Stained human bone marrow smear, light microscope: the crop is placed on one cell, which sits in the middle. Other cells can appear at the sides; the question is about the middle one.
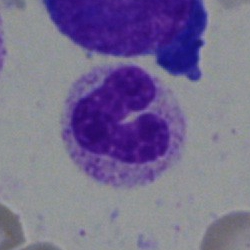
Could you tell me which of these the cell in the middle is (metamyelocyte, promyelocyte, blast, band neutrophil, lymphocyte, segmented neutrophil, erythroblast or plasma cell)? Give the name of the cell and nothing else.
band neutrophil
